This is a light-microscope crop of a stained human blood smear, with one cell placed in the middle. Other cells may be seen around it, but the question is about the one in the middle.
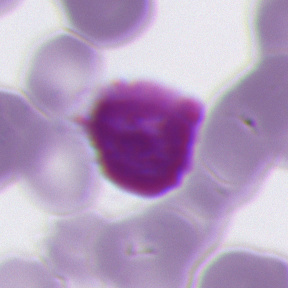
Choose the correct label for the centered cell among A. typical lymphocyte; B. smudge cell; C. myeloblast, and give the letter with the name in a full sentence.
Of the choices given, option B is right, as the central cell is a smudge cell.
